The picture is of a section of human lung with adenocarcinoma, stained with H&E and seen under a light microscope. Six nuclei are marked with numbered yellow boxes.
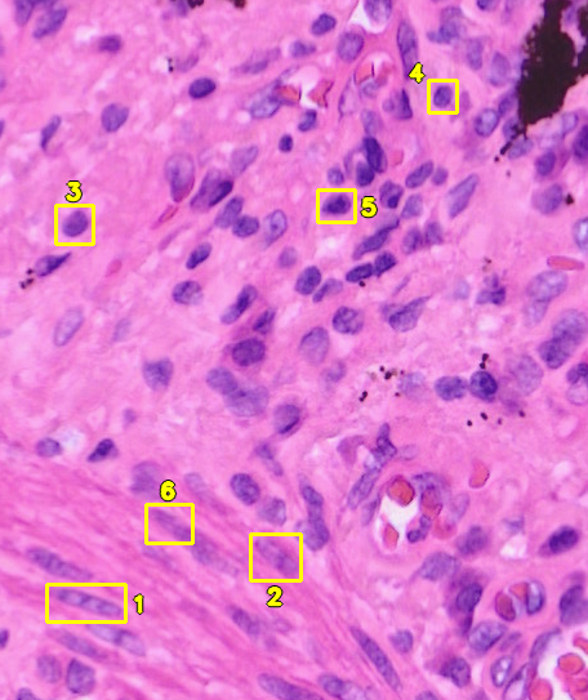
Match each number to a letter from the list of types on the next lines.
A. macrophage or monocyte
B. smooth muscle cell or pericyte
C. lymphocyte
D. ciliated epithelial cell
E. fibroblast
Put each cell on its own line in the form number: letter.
1: B
2: B
3: C
4: C
5: C
6: B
